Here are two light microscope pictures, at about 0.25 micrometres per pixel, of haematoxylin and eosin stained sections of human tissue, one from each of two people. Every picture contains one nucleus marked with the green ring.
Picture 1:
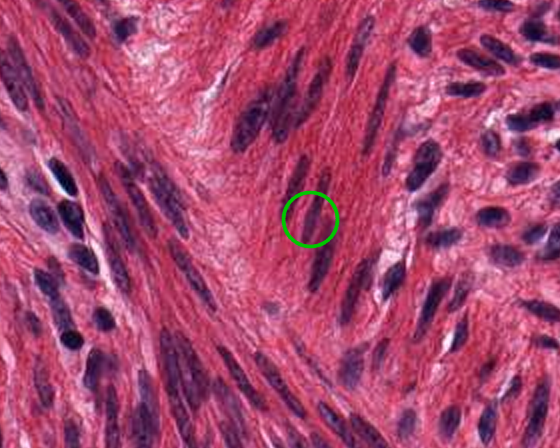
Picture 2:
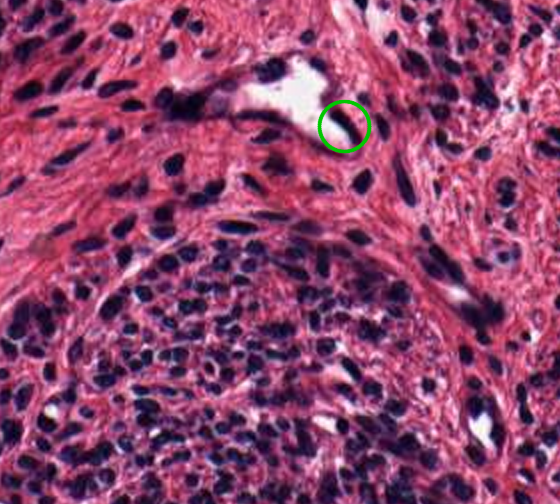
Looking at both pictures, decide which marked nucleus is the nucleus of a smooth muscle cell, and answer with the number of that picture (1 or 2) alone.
1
